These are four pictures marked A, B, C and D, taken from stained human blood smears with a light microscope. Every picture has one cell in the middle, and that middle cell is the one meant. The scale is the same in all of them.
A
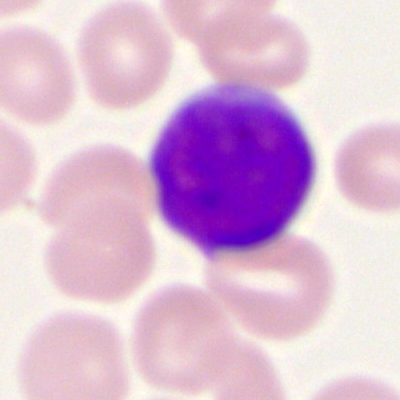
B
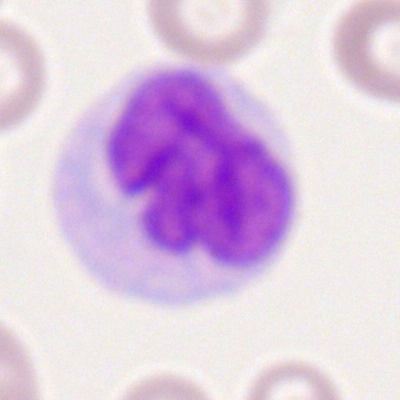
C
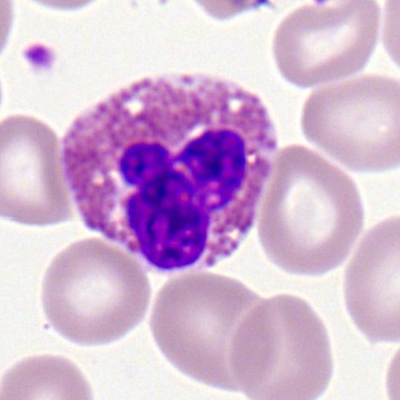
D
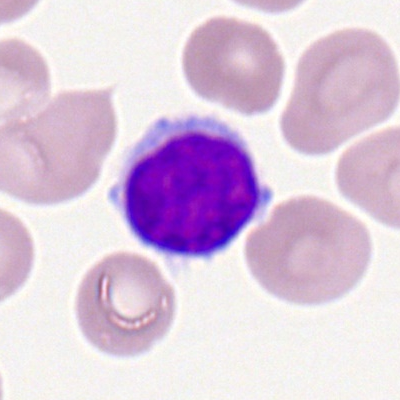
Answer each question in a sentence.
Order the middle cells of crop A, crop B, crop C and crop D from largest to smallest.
Going down, they run B, C, A, D.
